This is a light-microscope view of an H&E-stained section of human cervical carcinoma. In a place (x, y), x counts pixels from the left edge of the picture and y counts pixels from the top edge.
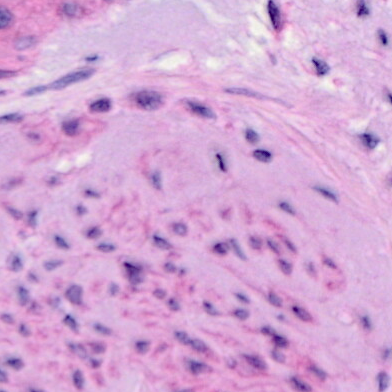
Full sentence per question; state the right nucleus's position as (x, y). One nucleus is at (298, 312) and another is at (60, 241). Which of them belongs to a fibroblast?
Of these two nuclei, only the one at (60, 241) belongs to a fibroblast.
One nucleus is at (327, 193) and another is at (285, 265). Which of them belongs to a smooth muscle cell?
The pair contains one nucleus of a smooth muscle cell, namely the one at (285, 265).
